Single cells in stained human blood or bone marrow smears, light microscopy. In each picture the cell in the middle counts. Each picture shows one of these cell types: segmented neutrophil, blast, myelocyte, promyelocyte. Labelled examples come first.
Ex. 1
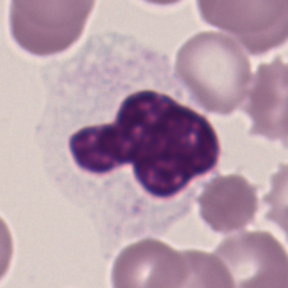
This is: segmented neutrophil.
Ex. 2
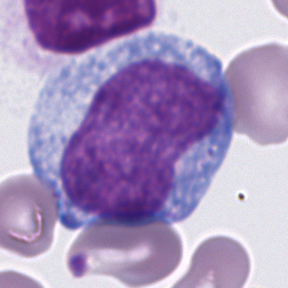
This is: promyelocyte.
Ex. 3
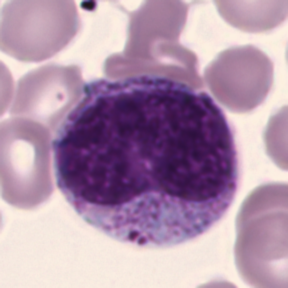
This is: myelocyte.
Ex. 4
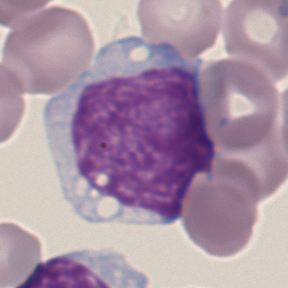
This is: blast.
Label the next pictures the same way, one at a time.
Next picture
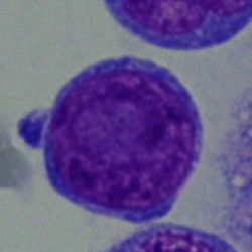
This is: blast.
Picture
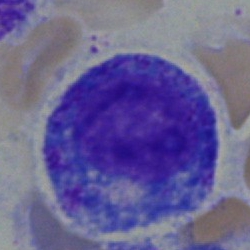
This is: promyelocyte.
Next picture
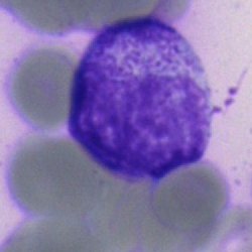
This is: myelocyte.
